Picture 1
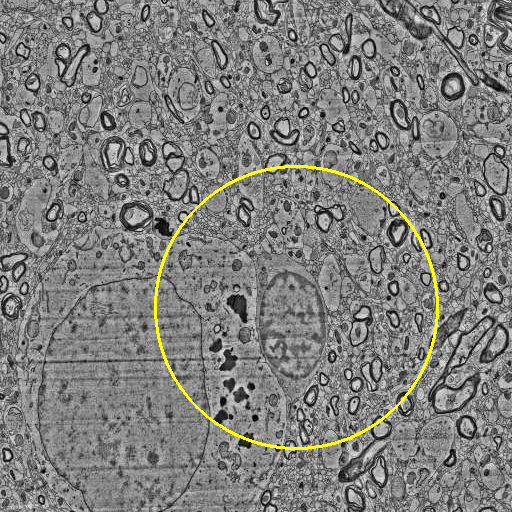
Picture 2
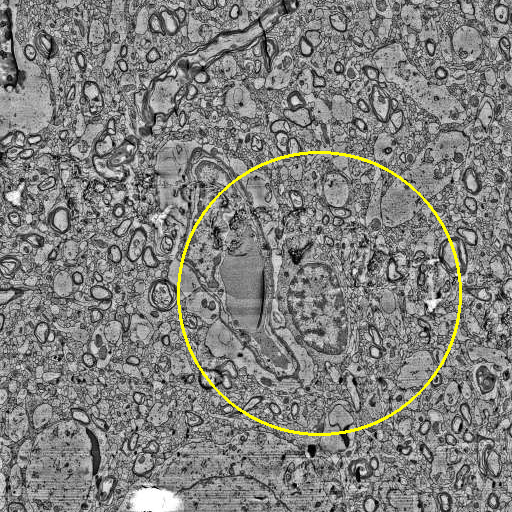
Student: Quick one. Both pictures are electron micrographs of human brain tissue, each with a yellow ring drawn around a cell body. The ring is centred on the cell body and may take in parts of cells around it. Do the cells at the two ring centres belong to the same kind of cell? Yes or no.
yes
